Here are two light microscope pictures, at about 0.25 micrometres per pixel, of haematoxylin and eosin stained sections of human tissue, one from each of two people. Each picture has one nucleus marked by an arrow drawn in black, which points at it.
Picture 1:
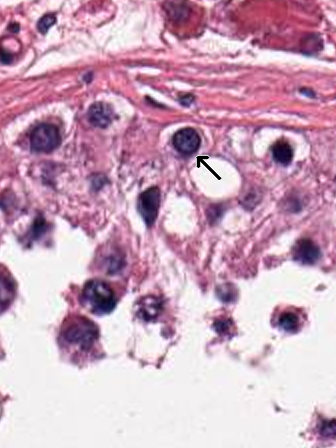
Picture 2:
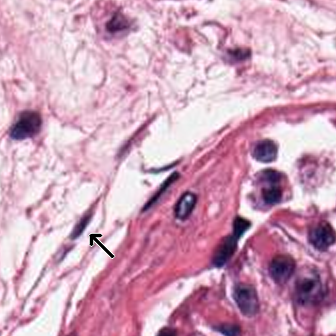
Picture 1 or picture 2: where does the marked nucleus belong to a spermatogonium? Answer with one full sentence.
Nowhere but in picture 1 does the marked nucleus belong to a spermatogonium.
